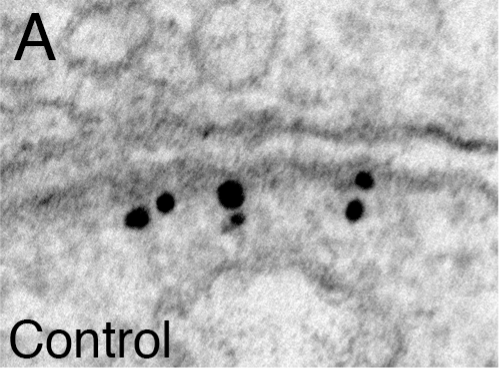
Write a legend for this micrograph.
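The presynaptic terminal lies above, containing round clear synaptic vesicles. A narrow synaptic cleft separates two parallel membranes running horizontally across the field. Several round, dense black grains of varying size lie close along the cytoplasmic face of this density, in a row parallel to the membrane. Below the density the postsynaptic cytoplasm is pale and finely granular, with a few membrane profiles.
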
